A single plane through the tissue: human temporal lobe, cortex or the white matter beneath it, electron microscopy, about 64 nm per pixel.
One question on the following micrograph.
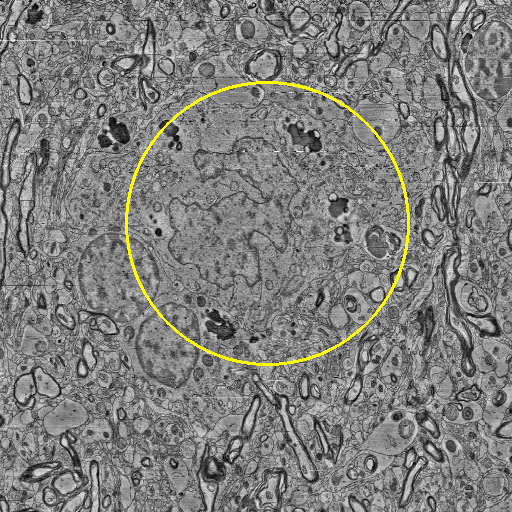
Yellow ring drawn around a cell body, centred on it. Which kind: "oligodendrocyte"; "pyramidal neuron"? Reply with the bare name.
pyramidal neuron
